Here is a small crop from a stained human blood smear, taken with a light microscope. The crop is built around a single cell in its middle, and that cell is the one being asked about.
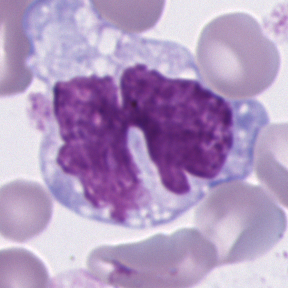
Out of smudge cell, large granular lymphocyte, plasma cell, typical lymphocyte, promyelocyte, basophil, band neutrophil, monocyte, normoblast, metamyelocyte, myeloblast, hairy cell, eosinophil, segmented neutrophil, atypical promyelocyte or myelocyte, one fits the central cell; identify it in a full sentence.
Centrally within this crop lies a monocyte.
